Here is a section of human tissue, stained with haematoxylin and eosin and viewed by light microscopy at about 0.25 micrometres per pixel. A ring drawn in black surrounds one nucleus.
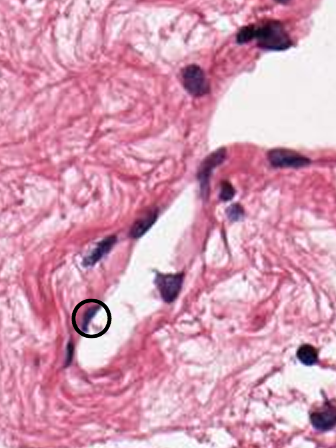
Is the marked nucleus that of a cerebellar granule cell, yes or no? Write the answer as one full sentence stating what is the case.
No, the marked nucleus is not borne by a cerebellar granule cell; it is borne by a supporting cell.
